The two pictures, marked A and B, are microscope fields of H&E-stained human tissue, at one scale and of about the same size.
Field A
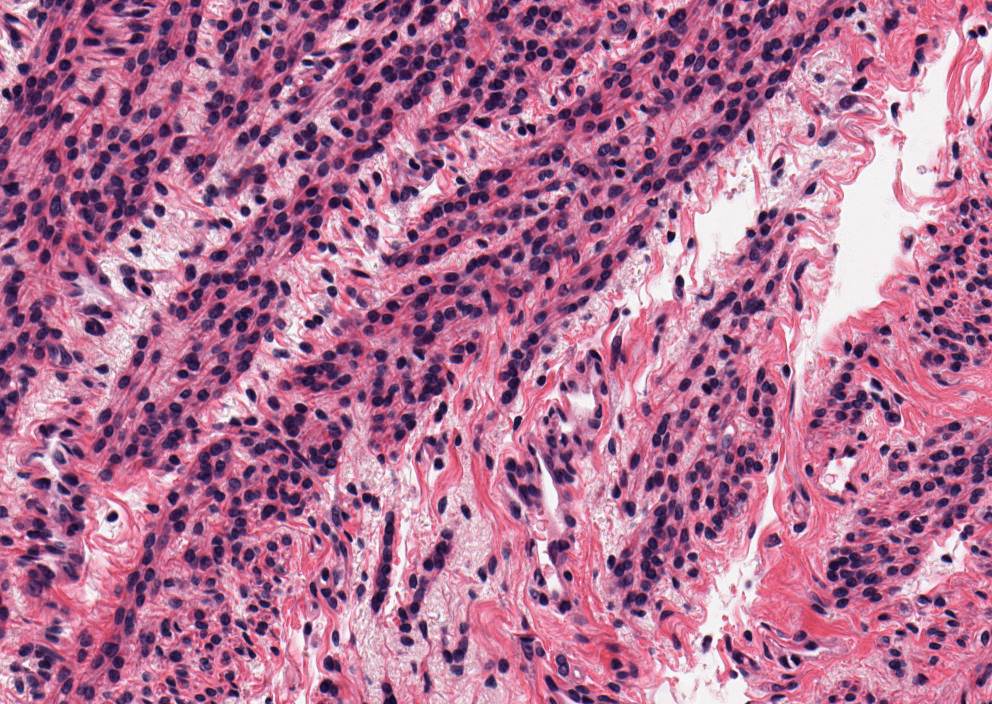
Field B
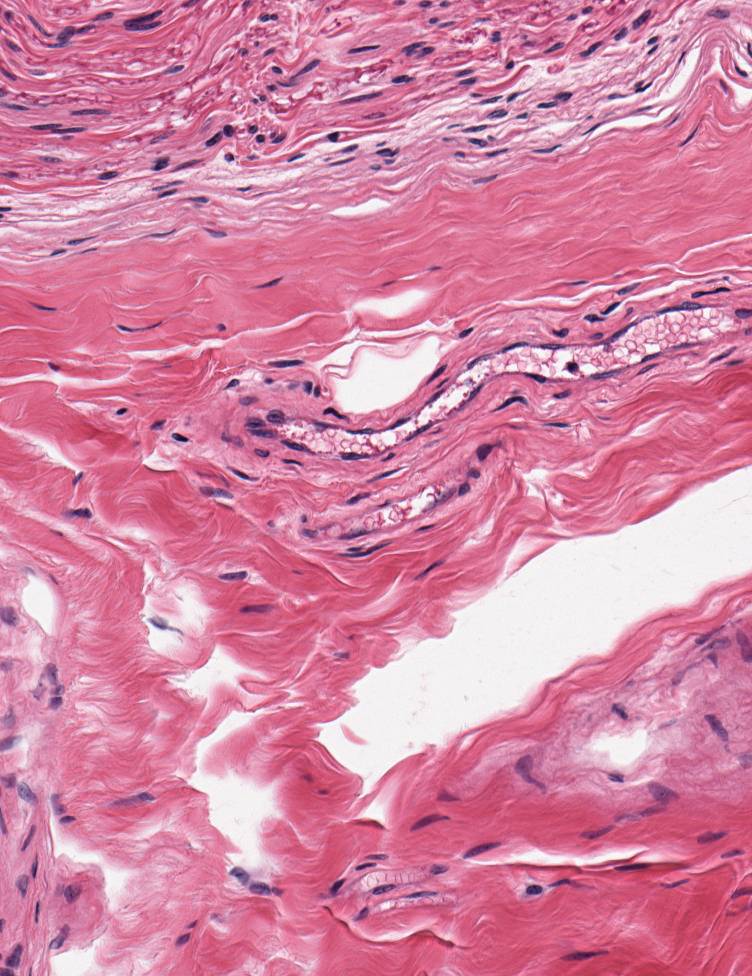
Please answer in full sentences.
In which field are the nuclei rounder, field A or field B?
The nuclei are rounder in field A.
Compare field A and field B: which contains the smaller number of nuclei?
Fewer nuclei lie in field B than in field A.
